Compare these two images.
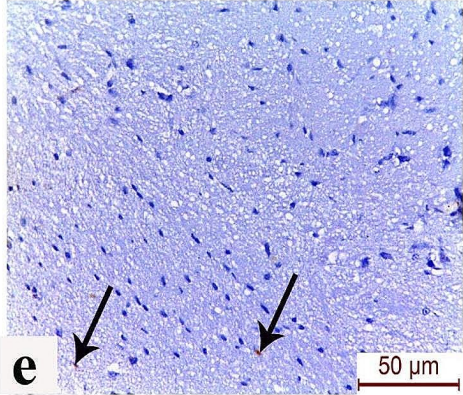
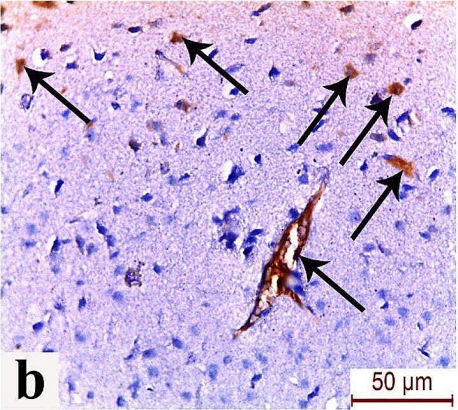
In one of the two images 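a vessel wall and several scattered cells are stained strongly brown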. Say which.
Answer: The second image.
